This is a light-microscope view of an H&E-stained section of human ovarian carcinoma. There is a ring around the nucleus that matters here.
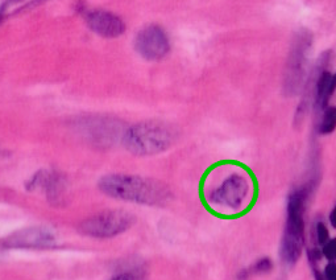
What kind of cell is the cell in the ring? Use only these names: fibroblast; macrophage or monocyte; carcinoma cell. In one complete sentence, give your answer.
In cellular terms, the cell in the ring is a macrophage or monocyte.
